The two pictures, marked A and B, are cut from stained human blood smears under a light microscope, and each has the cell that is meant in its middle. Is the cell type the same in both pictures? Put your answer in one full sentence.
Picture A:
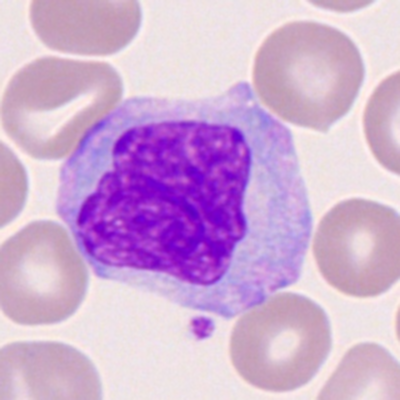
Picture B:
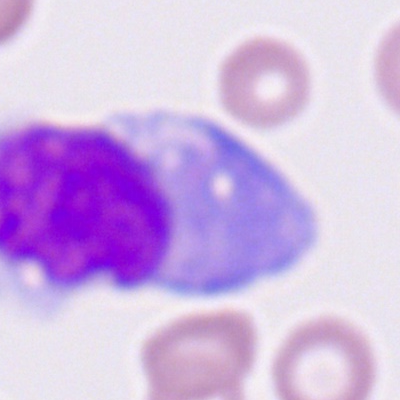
Yes, they are the same type: both are monocytes.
